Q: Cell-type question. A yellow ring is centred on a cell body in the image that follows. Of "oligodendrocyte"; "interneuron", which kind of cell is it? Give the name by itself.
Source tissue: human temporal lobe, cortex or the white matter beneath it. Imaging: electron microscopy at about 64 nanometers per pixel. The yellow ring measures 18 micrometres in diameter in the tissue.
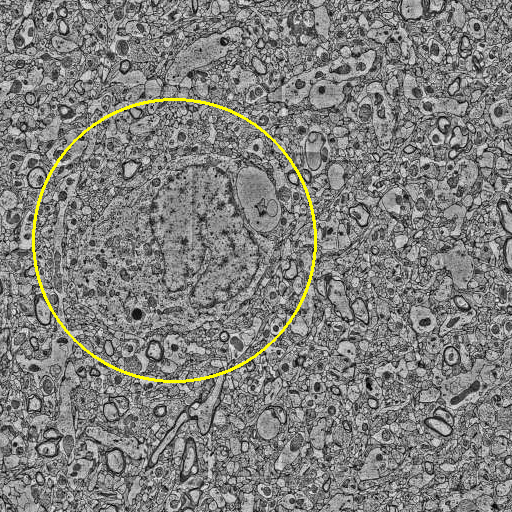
interneuron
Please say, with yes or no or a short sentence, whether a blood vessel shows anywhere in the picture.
No.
